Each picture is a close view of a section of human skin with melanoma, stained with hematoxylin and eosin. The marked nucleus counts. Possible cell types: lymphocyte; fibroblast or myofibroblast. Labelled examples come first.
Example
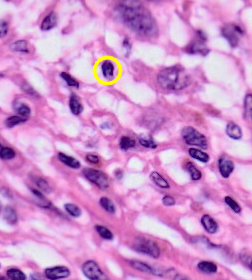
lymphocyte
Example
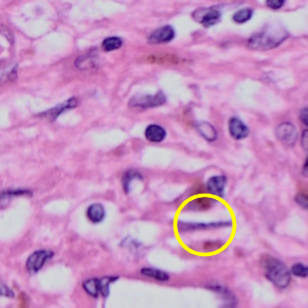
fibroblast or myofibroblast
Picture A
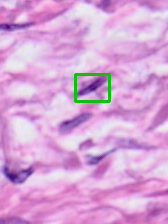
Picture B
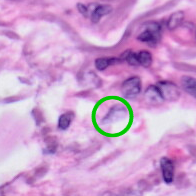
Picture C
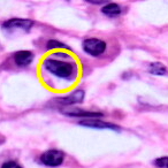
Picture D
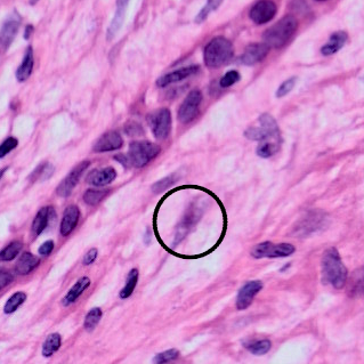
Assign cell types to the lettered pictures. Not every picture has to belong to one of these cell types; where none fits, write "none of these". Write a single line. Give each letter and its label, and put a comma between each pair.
A fibroblast or myofibroblast, B fibroblast or myofibroblast, C none of these, D fibroblast or myofibroblast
